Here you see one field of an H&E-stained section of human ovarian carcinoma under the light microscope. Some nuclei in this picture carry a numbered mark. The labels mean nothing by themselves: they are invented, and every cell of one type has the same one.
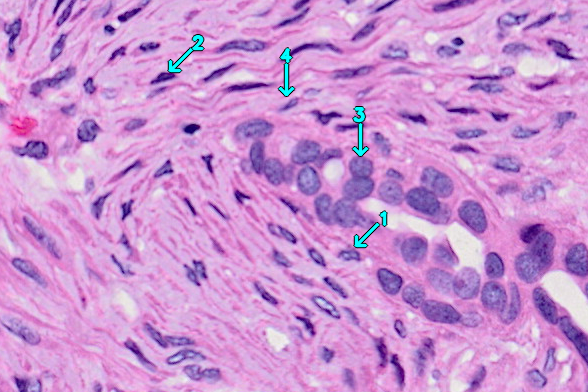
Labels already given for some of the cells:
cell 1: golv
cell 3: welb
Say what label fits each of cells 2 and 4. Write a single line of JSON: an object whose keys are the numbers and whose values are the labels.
{"2": "golv", "4": "golv"}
